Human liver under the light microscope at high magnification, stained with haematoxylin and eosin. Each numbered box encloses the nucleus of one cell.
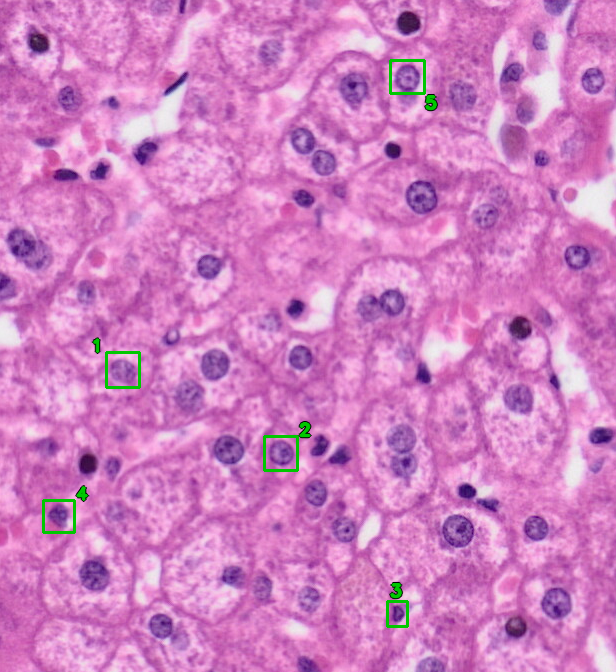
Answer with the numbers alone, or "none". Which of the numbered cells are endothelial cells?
4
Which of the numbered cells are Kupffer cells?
3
